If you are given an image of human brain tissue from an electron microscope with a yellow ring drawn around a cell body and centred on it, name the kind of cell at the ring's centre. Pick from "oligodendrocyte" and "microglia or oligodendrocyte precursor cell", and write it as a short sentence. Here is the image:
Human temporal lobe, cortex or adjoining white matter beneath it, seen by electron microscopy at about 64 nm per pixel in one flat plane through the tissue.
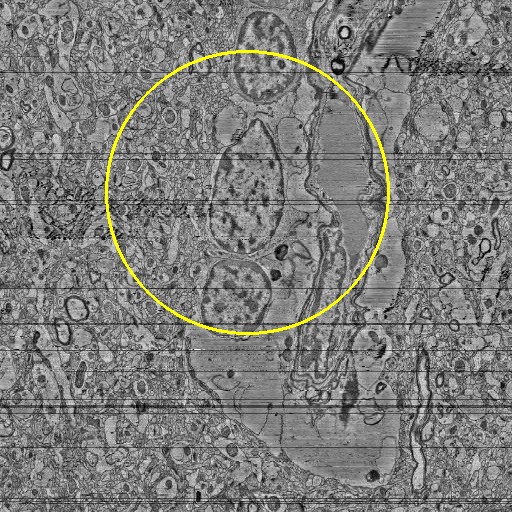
The cell at the ring's centre is a microglial cell or oligodendrocyte precursor cell.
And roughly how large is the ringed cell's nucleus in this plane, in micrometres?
About 8 by 5 micrometres; in this plane the nucleus is clearly longer than it is wide.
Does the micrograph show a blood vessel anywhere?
Yes, one is visible.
